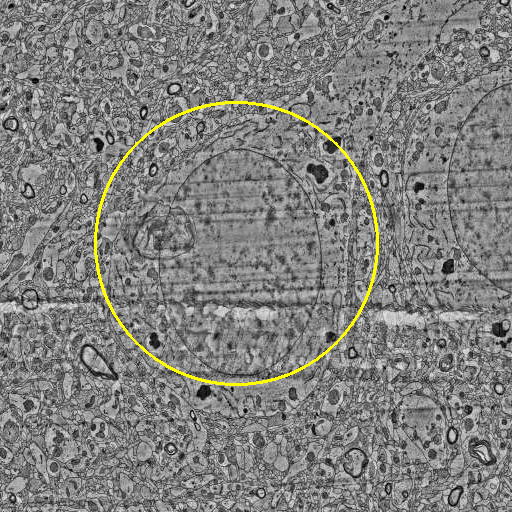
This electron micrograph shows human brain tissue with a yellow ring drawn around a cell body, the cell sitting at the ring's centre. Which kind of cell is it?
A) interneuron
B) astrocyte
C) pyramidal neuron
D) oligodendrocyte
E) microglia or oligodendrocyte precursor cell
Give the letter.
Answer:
C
